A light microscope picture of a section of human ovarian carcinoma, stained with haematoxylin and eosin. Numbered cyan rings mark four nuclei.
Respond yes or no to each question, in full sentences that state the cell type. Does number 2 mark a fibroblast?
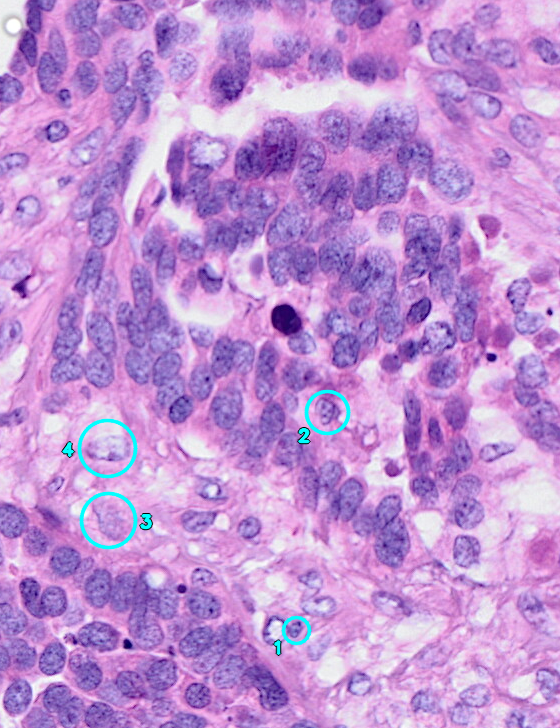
No, cell 2 is to be read as a macrophage or monocyte, not a fibroblast.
